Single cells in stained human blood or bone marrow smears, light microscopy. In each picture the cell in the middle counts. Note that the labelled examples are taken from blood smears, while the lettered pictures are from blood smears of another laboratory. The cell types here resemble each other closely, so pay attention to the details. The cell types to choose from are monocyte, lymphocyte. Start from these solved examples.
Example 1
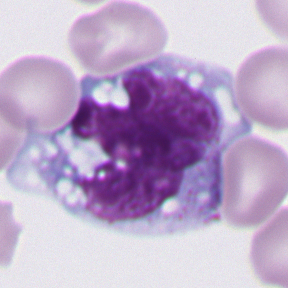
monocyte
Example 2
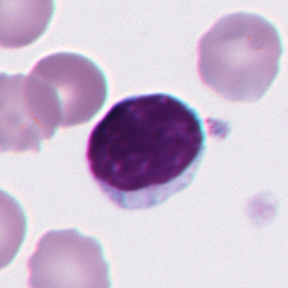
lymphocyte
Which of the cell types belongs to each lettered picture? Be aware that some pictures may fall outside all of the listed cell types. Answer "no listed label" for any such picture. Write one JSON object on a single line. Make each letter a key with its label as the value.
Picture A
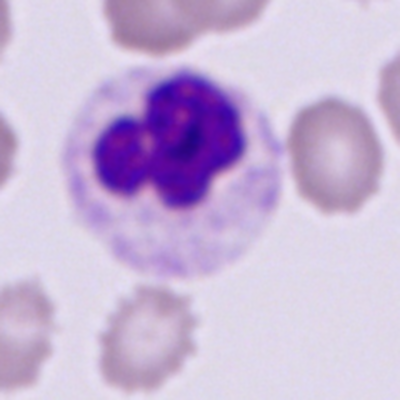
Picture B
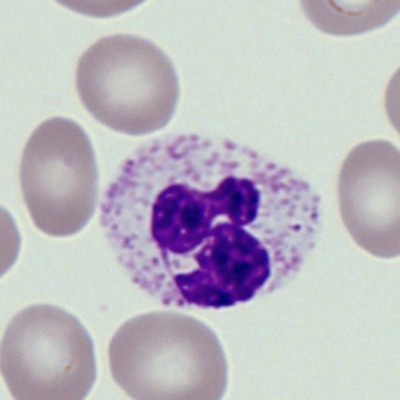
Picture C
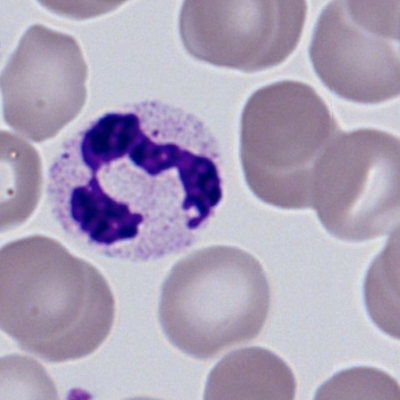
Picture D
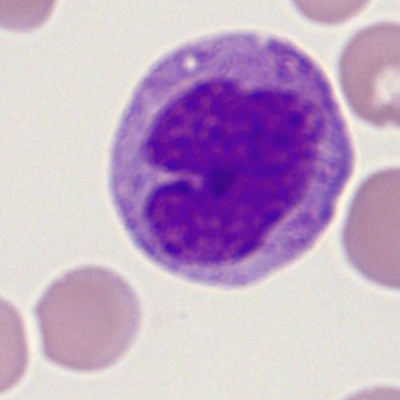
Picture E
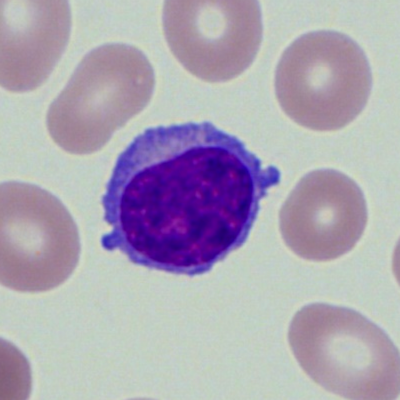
{"A": "no listed label", "B": "no listed label", "C": "no listed label", "D": "monocyte", "E": "lymphocyte"}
